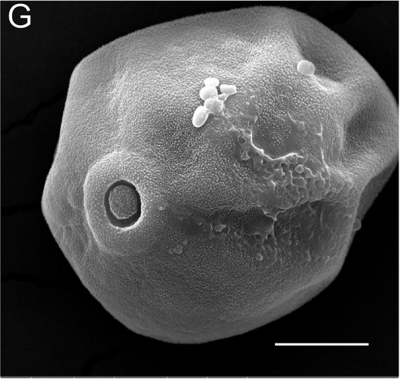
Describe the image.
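A single pollen grain is seen in scanning electron view, rounded but somewhat angular in outline with broad shallow facets. On one side lies a small circular pore ringed by a raised rim, and the outer wall is finely granular, with a few small smooth spherical bodies resting on its surface.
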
